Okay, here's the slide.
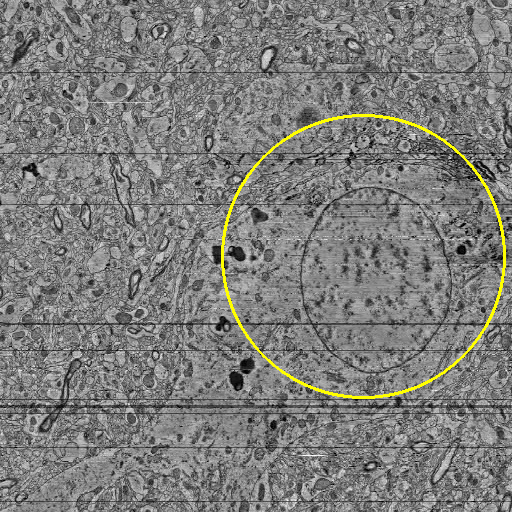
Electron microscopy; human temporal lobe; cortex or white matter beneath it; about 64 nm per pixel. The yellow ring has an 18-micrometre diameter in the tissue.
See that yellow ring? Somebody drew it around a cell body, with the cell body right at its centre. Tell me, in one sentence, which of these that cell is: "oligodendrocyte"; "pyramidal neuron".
The cell in the middle of the ring is a pyramidal neuron.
